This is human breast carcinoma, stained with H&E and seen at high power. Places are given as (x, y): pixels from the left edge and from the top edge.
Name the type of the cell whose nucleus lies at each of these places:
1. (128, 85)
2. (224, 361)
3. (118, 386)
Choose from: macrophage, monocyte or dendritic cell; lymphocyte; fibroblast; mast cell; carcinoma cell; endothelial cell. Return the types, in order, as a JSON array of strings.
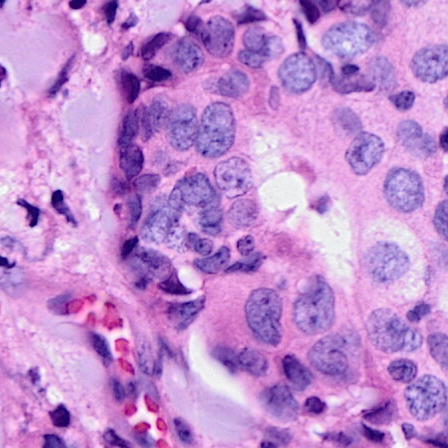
["carcinoma cell", "carcinoma cell", "endothelial cell"]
